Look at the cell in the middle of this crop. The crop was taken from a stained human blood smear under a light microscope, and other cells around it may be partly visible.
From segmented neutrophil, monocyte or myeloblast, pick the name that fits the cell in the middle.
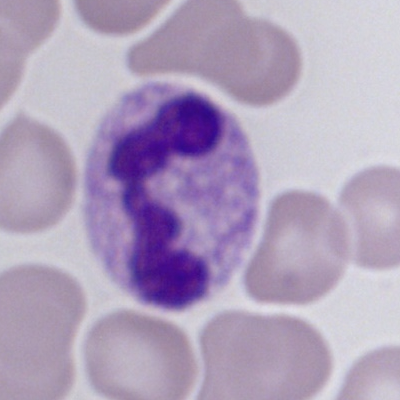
segmented neutrophil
